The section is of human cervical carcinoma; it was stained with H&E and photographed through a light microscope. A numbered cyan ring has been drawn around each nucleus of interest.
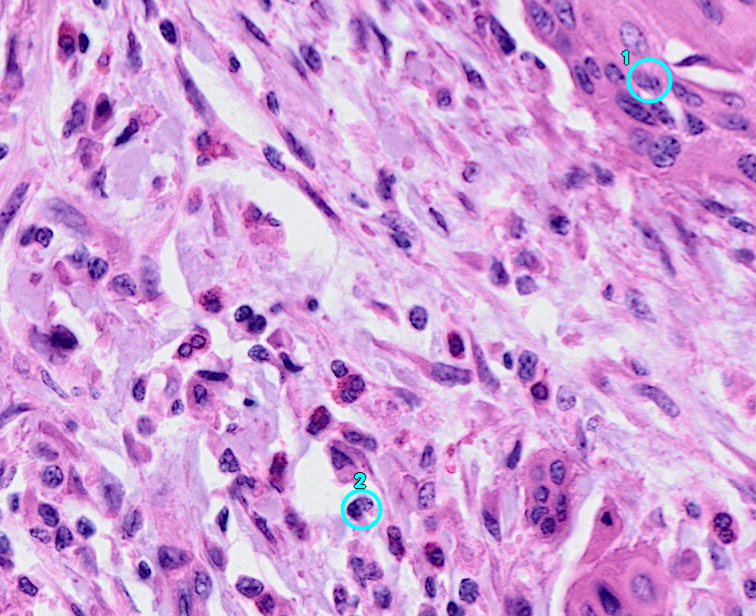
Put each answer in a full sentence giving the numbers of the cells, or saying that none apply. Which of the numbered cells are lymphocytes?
Cell 2 is a lymphocyte, whereas each of the other numbered cells is not.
